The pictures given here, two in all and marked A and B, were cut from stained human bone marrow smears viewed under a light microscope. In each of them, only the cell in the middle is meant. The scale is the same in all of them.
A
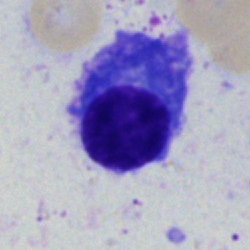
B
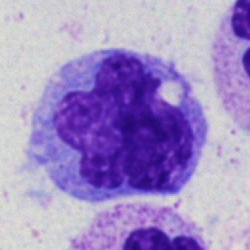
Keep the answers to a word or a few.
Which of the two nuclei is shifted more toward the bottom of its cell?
A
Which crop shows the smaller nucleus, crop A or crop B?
A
